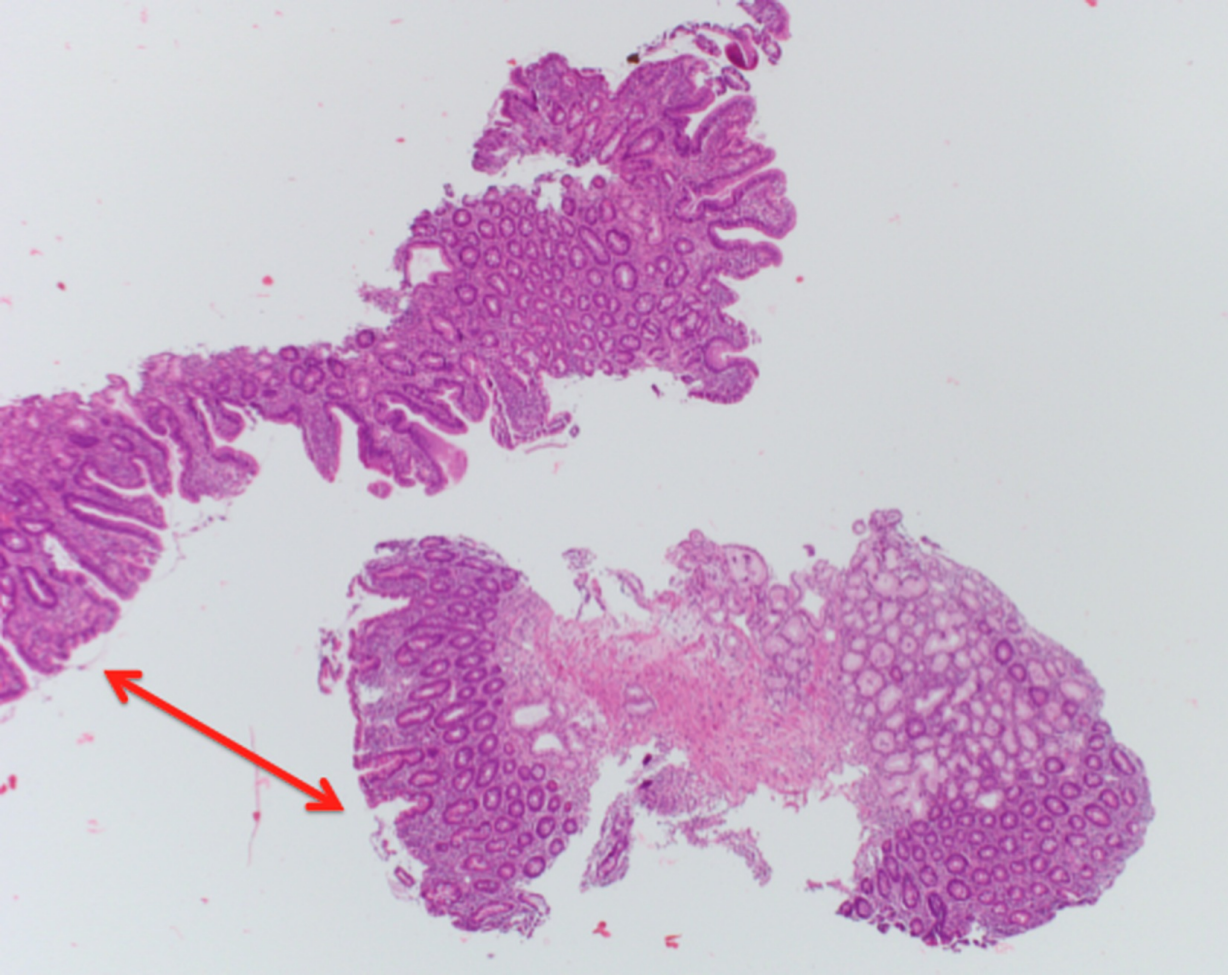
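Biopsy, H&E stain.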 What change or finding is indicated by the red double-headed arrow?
Variable flattening of the villi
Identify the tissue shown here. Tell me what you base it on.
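The mucosa bears finger-like projections lined by a single layer of columnar epithelium. Many glands cut in cross-section appear as round profiles in the mucosa. Pale-staining clusters of glands lie in the lower fragment, away from the surface. On this evidence: duodenum.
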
